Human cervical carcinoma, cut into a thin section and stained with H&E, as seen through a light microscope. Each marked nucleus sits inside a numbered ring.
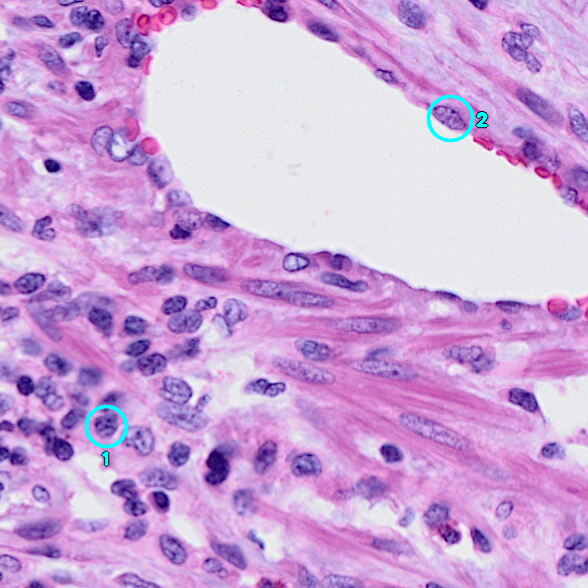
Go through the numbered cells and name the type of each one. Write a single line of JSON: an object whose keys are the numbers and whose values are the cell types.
{"1": "lymphocyte", "2": "endothelial cell"}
